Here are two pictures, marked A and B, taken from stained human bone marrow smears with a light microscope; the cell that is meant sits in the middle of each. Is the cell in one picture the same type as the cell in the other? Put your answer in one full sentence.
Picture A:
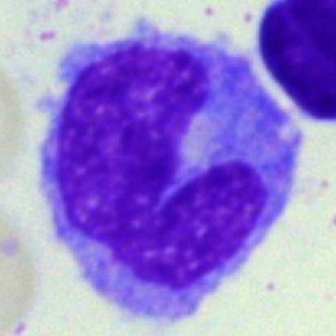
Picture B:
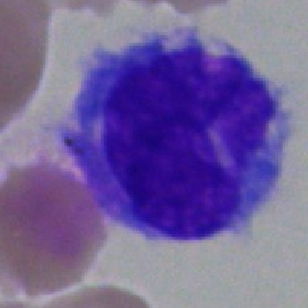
Yes, both are monocytes.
